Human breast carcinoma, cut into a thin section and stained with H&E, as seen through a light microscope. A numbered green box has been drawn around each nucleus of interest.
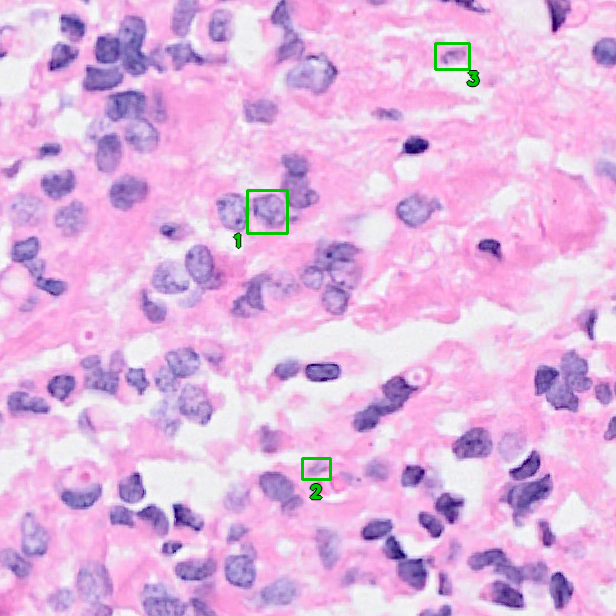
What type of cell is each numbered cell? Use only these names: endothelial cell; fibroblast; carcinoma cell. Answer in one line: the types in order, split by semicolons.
carcinoma cell; endothelial cell; fibroblast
